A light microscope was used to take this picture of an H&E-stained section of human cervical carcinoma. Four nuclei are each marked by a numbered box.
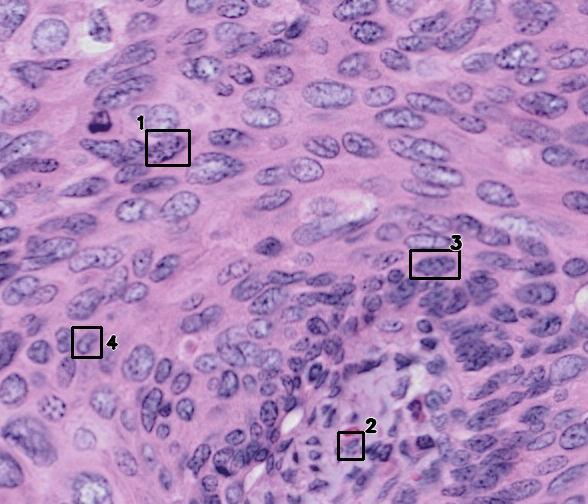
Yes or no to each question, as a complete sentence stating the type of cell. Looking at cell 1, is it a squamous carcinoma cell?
Yes, the cell corresponding to number 1 is a squamous carcinoma cell.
